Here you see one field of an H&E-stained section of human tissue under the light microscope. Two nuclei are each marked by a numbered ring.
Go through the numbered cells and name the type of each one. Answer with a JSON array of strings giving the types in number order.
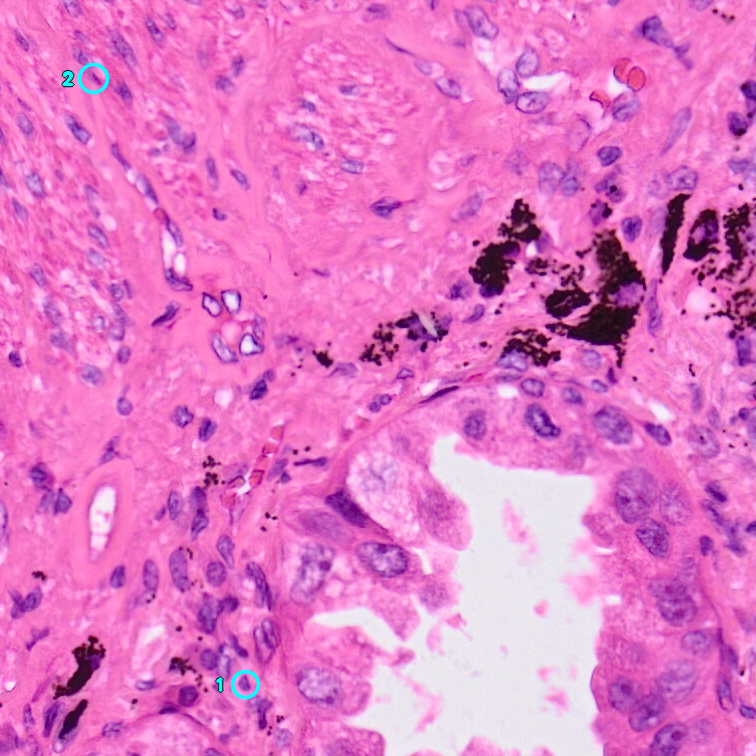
["lymphocyte", "smooth muscle cell or pericyte"]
